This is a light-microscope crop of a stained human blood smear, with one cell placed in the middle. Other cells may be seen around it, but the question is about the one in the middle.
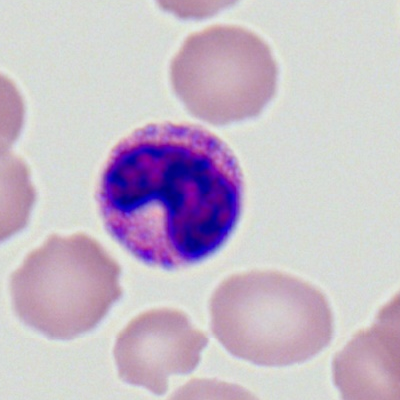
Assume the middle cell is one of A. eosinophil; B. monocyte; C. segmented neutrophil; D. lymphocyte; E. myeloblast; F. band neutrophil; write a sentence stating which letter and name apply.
The central cell in this crop is a band neutrophil, so the correct choice is option F.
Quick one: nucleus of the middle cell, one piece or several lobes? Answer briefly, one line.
The cell carries one compact nucleus shaped round, oval or like a kidney.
